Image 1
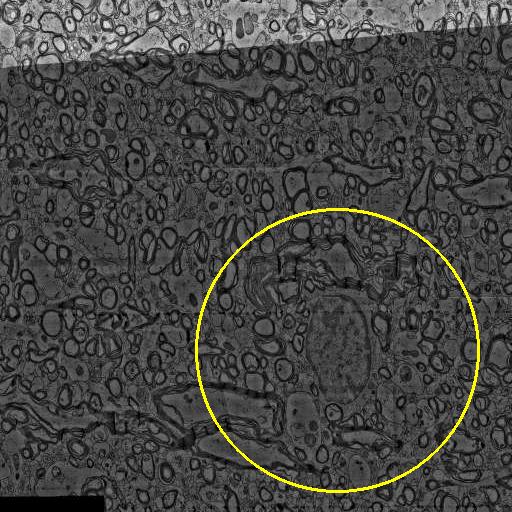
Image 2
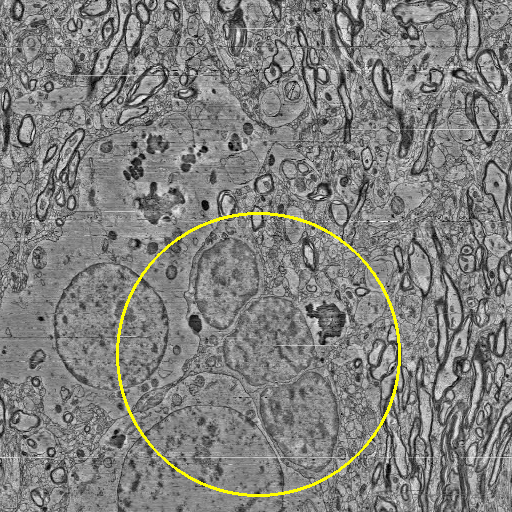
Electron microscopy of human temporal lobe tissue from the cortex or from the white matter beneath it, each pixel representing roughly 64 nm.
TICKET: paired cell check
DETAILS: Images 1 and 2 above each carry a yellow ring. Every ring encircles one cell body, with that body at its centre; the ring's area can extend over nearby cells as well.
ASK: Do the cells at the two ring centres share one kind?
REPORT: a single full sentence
Yes, the ring-centre cells of Images 1 and 2 belong to a single kind.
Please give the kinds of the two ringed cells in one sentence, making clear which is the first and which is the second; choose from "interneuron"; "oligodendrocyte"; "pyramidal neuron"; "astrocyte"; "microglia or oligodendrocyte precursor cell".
The cell at the ring centre is an oligodendrocyte in both pictures.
